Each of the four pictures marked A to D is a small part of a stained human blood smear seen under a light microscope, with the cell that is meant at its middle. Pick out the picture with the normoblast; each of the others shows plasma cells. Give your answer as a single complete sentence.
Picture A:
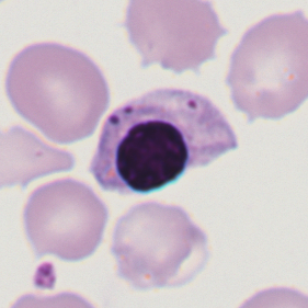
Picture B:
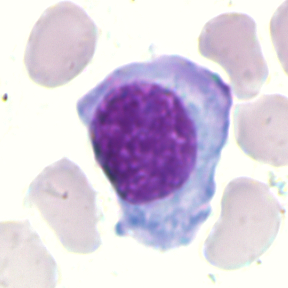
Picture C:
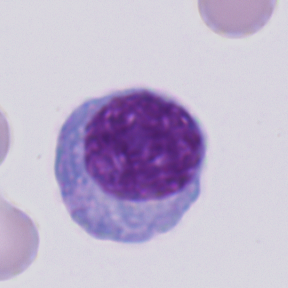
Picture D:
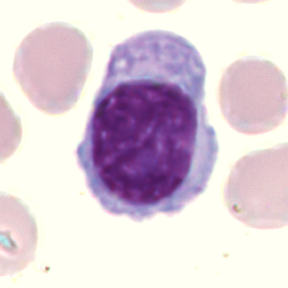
The cell in picture A is the normoblast.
